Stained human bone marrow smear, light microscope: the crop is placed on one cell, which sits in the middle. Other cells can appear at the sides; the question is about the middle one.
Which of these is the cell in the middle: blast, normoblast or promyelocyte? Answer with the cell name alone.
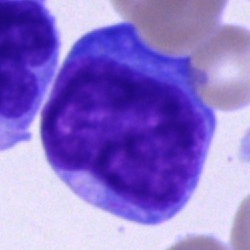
blast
